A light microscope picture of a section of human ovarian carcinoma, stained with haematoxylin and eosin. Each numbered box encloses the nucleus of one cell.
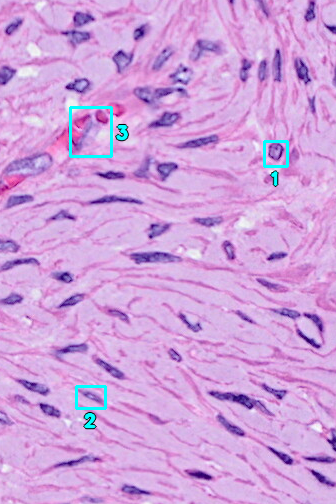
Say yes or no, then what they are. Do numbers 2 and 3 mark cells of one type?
No, cell number 2 is a fibroblast and cell number 3 is an endothelial cell.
